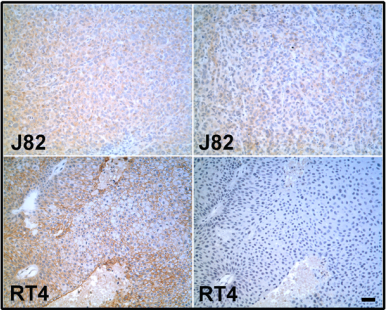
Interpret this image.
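Four fields of solid tumour tissue in a two-by-two block, each made of densely packed cells in sheets with no obvious glandular or layered arrangement. Throughout, small round to oval blue nuclei are closely spaced and fairly even in size. The fields differ mainly in the colour between nuclei: the lower left field is strongly brown across the tissue with darker brown streaks, the upper fields are more lightly tinged brown, and the lower right field is almost entirely blue with little brown. Pale, cell-poor strands or clefts cross the lower fields, separating the sheets of tumour cells.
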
